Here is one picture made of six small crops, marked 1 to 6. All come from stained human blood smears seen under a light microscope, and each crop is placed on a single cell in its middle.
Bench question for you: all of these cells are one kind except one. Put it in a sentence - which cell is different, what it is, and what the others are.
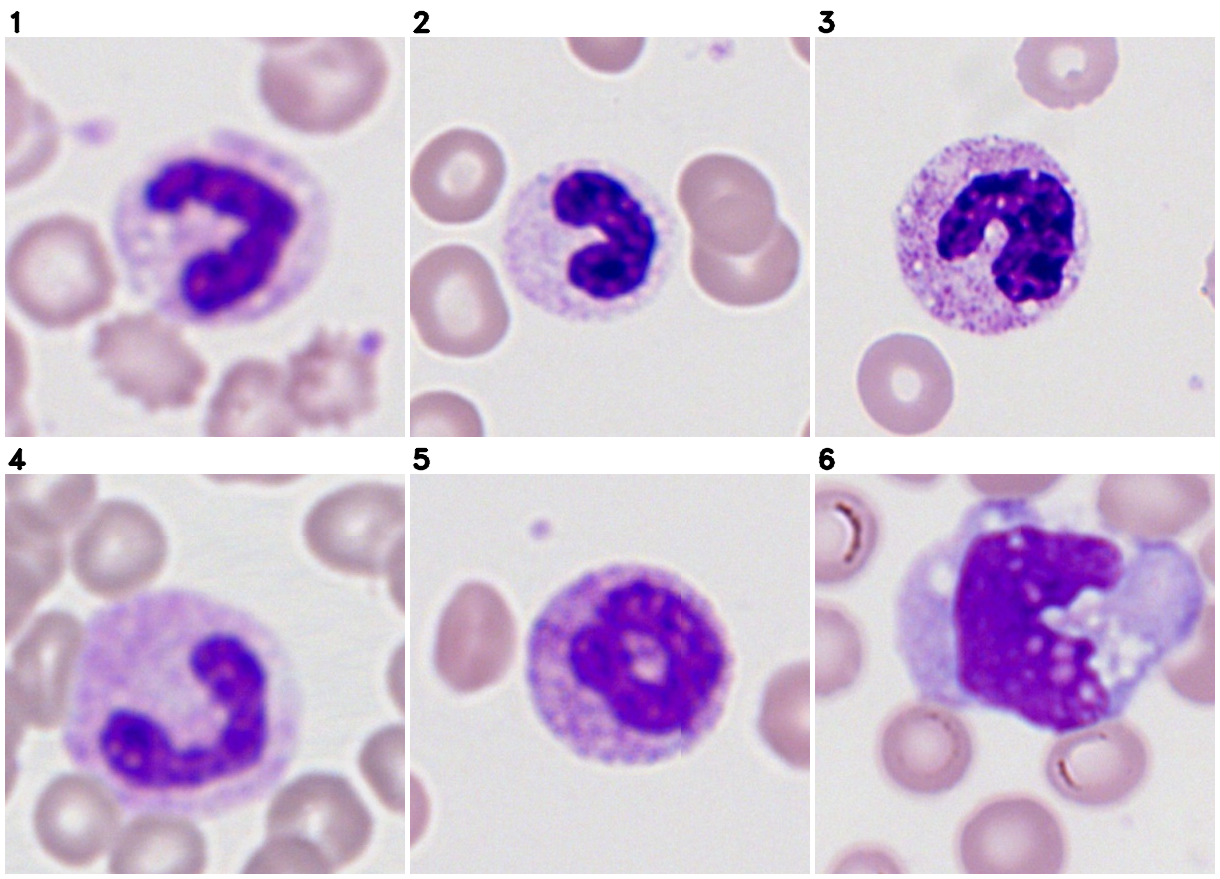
Crop 6 presents a monocyte, while band neutrophils are presented by all other crops.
